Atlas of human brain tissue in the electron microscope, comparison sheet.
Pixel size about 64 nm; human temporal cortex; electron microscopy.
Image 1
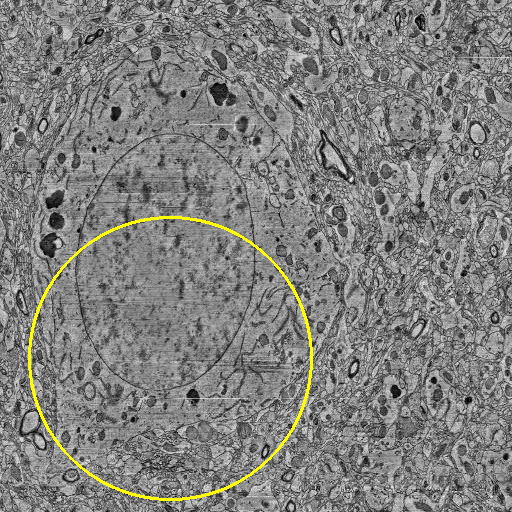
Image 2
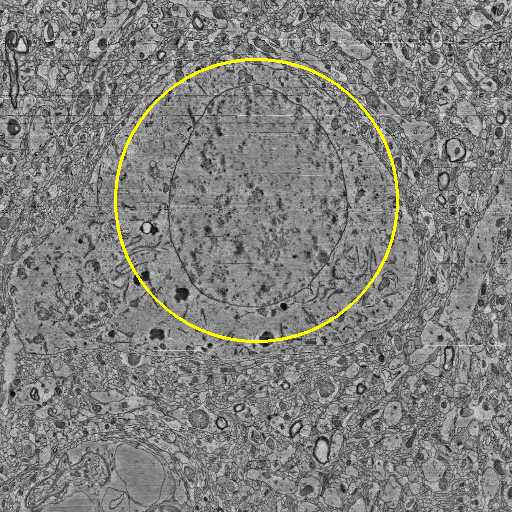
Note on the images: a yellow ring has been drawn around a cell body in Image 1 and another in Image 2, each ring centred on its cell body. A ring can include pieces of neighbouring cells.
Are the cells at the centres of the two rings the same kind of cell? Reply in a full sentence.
Yes, both cells are of the same kind.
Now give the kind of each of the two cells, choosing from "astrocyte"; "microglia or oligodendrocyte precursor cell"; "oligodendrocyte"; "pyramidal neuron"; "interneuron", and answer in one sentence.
In both pictures the ring is centred on a pyramidal neuron.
